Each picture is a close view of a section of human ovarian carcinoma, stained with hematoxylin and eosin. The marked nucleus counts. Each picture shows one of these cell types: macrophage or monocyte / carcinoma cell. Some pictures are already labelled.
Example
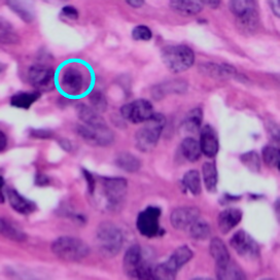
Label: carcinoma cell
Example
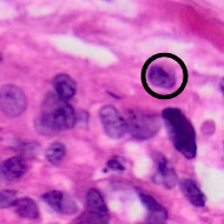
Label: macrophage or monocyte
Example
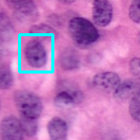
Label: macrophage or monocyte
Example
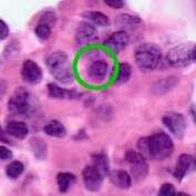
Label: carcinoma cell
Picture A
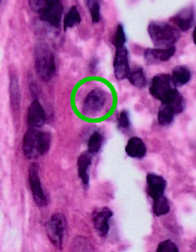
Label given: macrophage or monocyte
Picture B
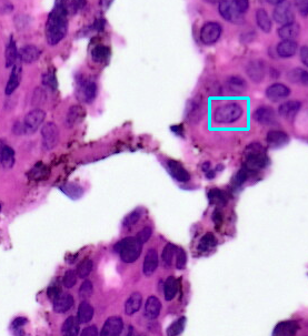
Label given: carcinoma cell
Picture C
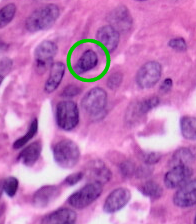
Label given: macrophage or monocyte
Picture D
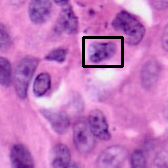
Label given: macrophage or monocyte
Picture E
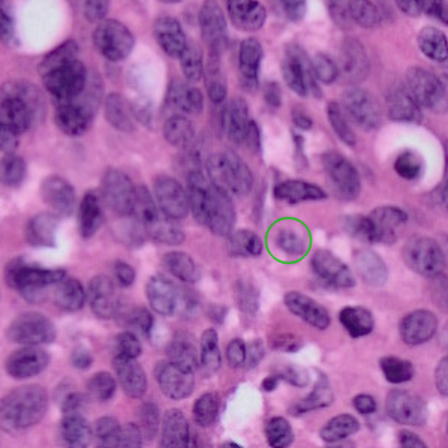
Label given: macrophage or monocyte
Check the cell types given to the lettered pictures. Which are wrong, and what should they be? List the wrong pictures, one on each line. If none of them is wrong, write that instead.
B: macrophage or monocyte, not carcinoma cell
